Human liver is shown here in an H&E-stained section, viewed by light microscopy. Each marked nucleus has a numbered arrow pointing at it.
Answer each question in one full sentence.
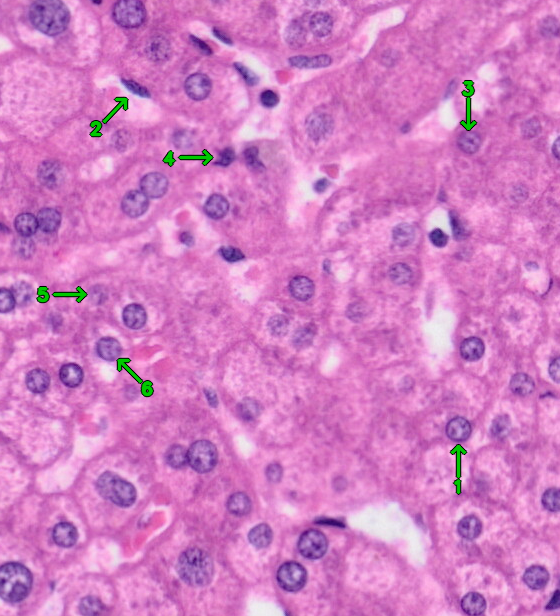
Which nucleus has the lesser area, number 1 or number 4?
It is nucleus 4; nucleus 1 has about 2 times its area.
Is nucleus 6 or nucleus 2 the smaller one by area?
Nucleus 2 is the smaller one; nucleus 6 covers about 1.5 times its area.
